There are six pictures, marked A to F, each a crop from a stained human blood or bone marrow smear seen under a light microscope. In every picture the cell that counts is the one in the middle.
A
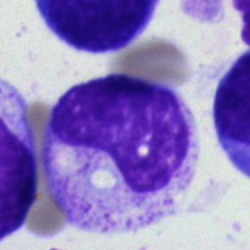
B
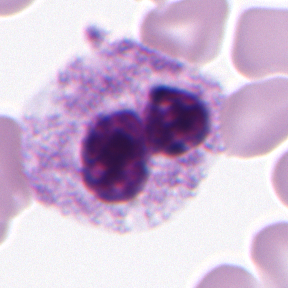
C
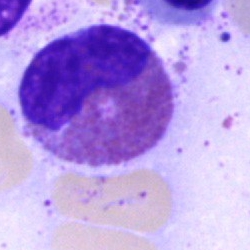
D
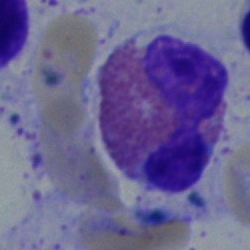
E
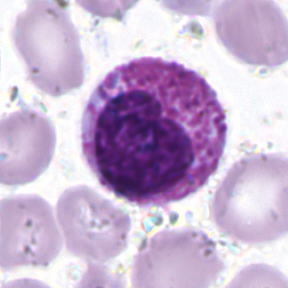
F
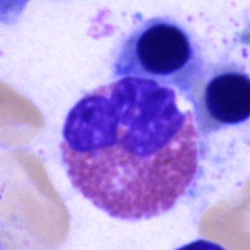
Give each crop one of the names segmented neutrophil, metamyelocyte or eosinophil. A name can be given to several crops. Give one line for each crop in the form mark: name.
A: metamyelocyte
B: segmented neutrophil
C: eosinophil
D: eosinophil
E: eosinophil
F: eosinophil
